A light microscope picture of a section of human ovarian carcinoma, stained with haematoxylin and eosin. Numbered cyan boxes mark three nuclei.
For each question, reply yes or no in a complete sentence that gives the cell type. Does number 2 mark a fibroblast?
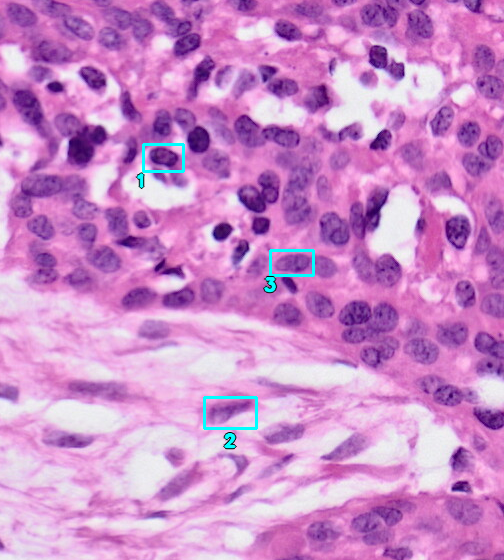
Yes, number 2 is assigned to a cell that is a fibroblast.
